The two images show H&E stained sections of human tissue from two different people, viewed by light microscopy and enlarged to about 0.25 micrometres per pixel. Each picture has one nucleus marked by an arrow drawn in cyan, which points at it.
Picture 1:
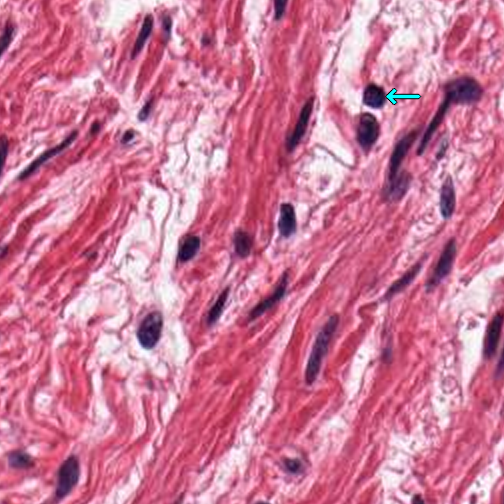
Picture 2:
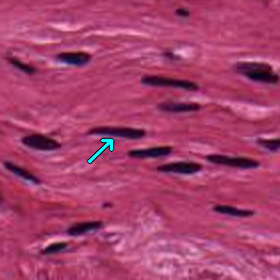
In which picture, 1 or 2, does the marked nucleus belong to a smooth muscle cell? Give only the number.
2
